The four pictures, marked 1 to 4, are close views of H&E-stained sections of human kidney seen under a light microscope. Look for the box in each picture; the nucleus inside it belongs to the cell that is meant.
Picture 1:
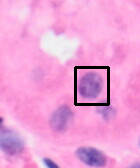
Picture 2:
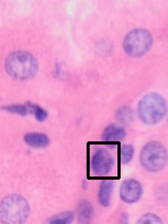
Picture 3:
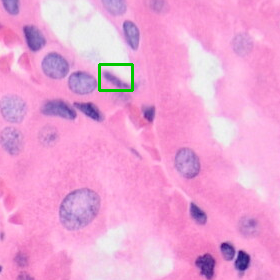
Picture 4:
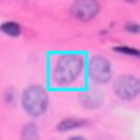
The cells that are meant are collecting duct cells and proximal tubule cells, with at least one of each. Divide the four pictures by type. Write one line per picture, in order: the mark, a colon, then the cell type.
1: proximal tubule cell
2: collecting duct cell
3: collecting duct cell
4: collecting duct cell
